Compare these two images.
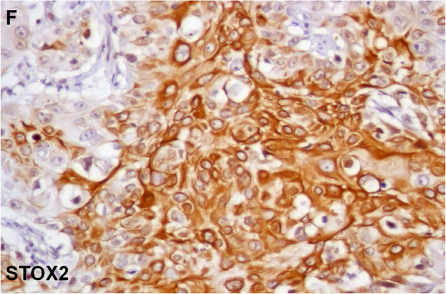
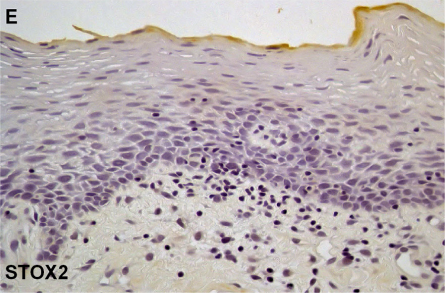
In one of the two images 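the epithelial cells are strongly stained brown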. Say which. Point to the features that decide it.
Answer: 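The first image. First image: tumour cells show intense brown staining around and within their cytoplasm. Second image: epithelial cells are blue-grey with no brown staining, apart from the surface edge.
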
